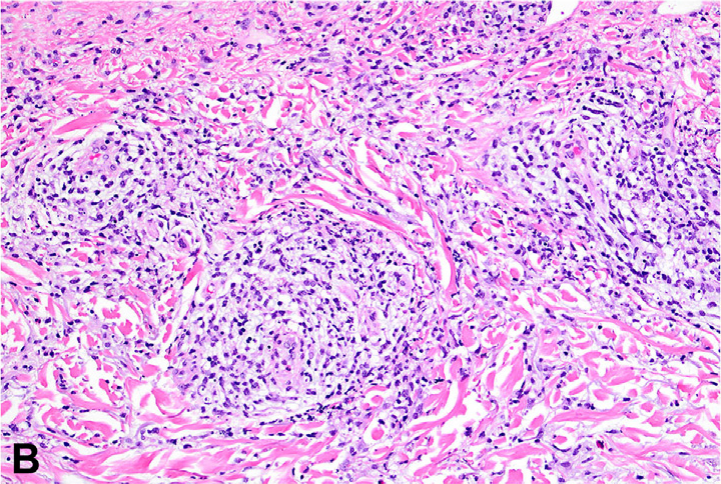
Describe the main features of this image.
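This is the dermis of the skin, crowded with a mixed inflammatory infiltrate of lymphocytes, histiocytes, neutrophils and scattered eosinophils. The lymphocytes are the many small cells with round, dense, dark purple nuclei and hardly any cytoplasm. The histiocytes are larger, with paler, oval to bean-shaped nuclei and a rim of pale pink cytoplasm, and they gather into loose rounded clusters. Between these clusters run wavy pink bundles of collagen, separated by the infiltrating cells. Picking out the neutrophils and the eosinophils takes a careful look at nuclear lobes and bright pink granules among the crowd.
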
